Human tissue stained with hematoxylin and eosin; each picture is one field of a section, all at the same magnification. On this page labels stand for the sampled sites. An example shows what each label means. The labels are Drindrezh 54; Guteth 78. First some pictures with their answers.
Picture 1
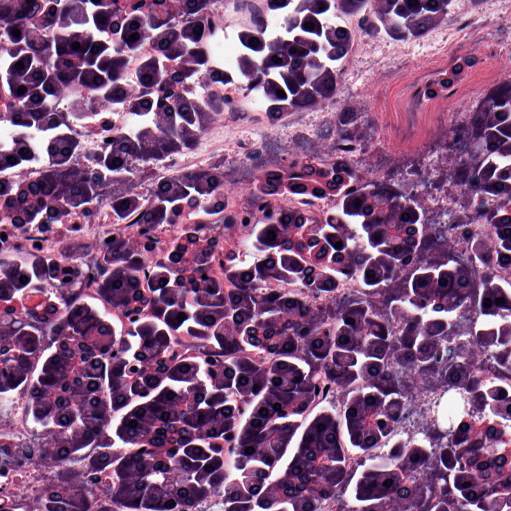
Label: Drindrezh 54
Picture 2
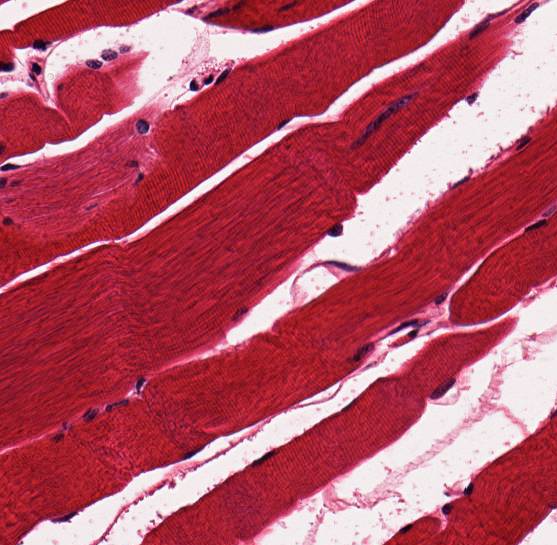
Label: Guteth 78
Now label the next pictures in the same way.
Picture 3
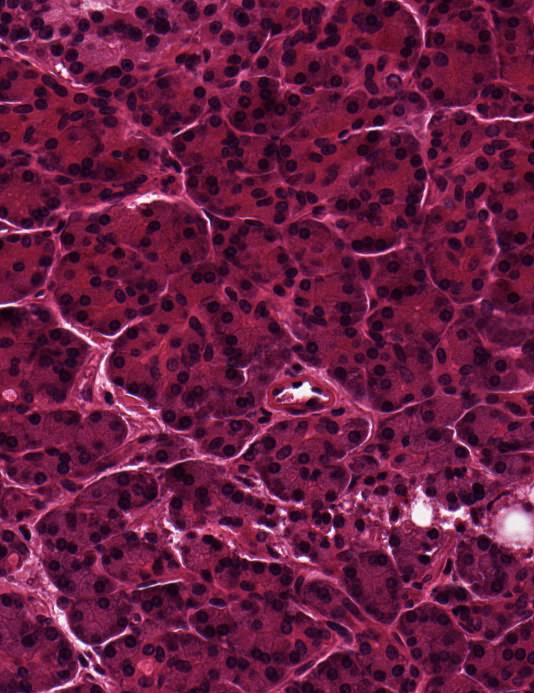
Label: Drindrezh 54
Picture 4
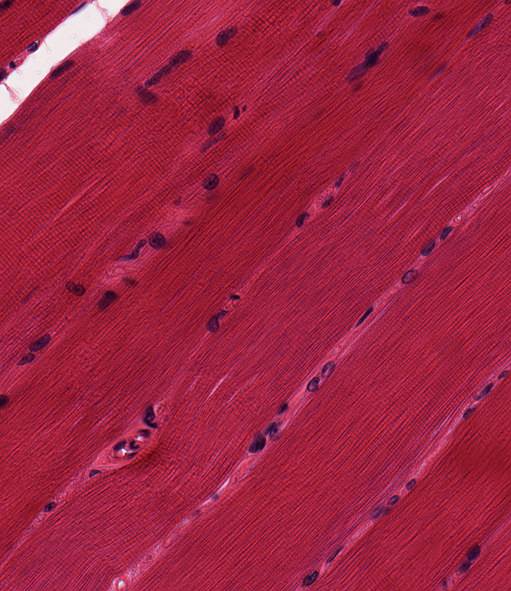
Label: Guteth 78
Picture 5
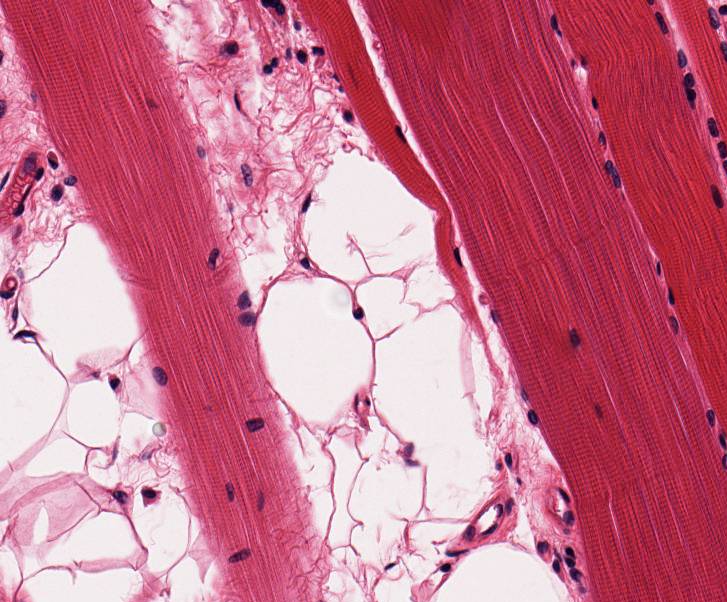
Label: Guteth 78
